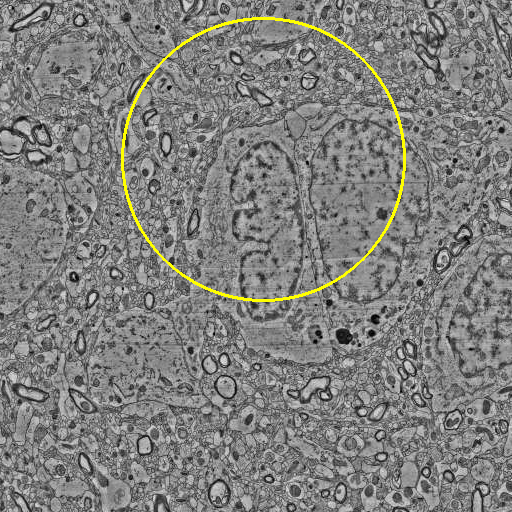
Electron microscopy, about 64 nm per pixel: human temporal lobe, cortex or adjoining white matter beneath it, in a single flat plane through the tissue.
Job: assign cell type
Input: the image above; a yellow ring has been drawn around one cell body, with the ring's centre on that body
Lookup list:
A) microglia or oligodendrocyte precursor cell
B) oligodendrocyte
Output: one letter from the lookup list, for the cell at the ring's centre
A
